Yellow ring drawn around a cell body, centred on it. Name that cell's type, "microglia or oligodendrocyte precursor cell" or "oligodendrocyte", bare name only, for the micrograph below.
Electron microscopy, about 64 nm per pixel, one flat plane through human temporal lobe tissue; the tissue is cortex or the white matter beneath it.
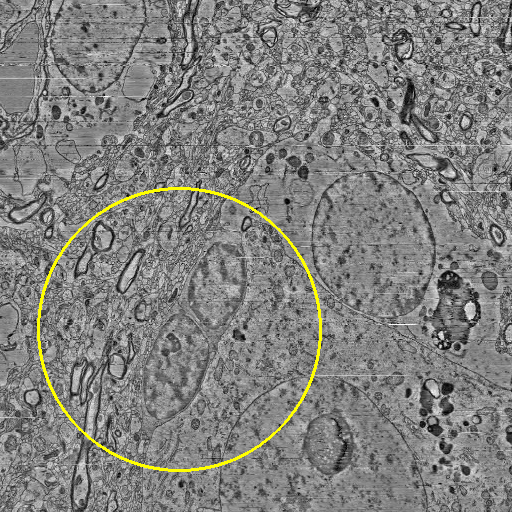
oligodendrocyte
